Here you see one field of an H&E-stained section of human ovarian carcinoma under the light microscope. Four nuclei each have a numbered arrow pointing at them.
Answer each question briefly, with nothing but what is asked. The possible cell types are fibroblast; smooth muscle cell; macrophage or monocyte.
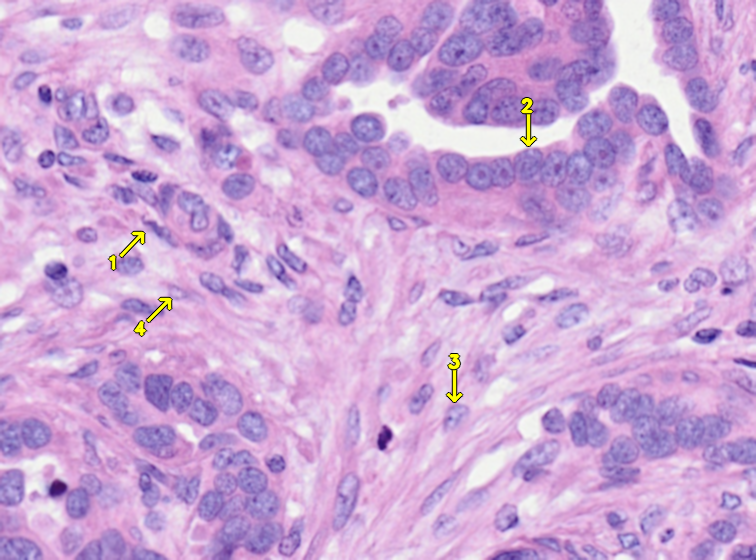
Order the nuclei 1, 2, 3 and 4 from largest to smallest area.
2, 3, 4, 1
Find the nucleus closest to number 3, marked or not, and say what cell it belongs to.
macrophage or monocyte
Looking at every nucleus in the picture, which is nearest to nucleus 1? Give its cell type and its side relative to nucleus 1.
a fibroblast, below and to the right of nucleus 1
